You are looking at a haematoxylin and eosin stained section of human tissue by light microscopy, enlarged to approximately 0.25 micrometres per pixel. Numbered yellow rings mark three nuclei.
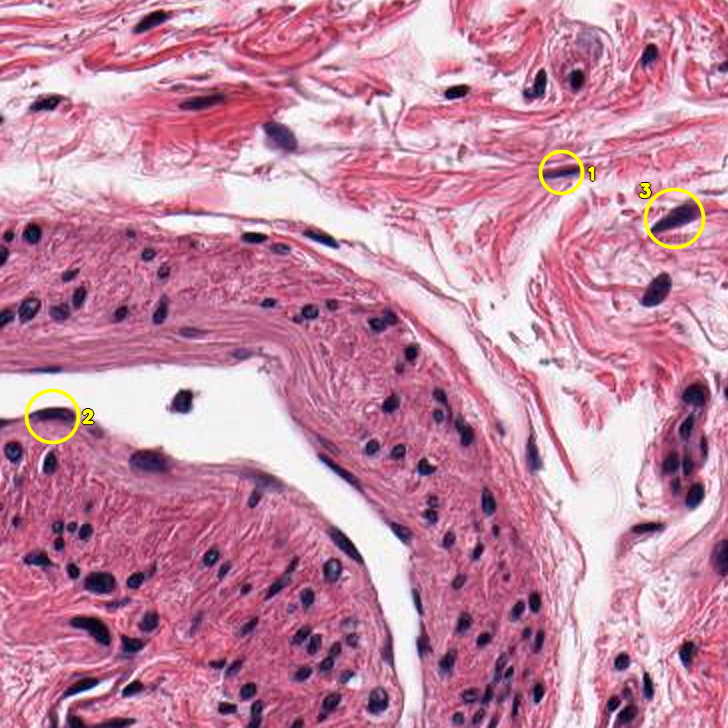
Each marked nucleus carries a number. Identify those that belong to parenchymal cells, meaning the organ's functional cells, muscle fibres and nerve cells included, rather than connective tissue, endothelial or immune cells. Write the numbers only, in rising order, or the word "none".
none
